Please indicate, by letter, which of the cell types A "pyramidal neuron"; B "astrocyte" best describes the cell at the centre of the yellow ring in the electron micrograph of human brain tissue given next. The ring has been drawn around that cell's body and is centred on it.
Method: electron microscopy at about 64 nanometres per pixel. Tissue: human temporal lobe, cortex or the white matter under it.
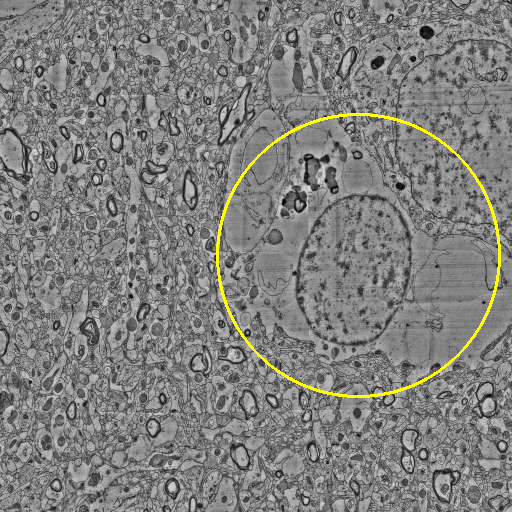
B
